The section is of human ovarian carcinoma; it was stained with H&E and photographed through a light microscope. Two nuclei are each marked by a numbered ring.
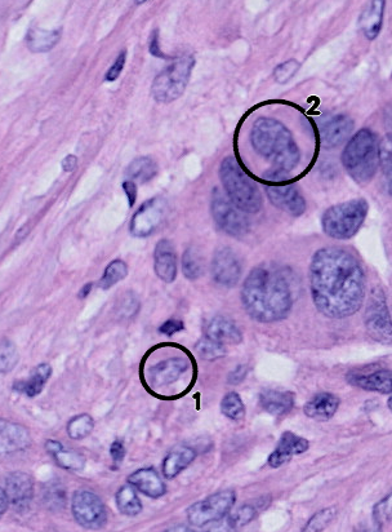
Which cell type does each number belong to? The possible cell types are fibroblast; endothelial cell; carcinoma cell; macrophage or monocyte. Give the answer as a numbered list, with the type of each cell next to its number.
1. fibroblast
2. carcinoma cell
